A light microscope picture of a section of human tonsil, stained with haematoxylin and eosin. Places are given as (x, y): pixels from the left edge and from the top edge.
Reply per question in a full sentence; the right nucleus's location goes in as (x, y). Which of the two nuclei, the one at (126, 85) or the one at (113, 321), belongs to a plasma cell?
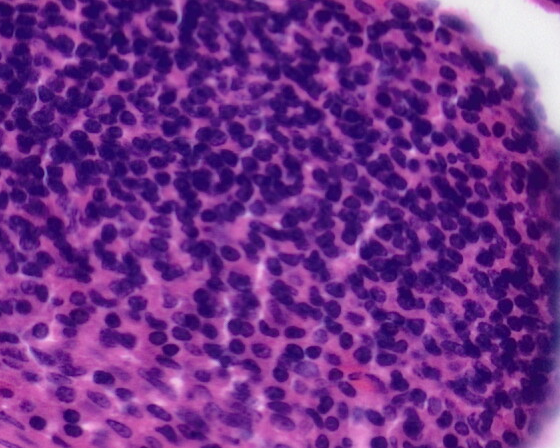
Of the two candidate nuclei, the one at (113, 321) is that of a plasma cell.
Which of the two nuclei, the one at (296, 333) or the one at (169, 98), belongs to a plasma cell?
The nucleus at (296, 333) is part of a plasma cell, while the other is not.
